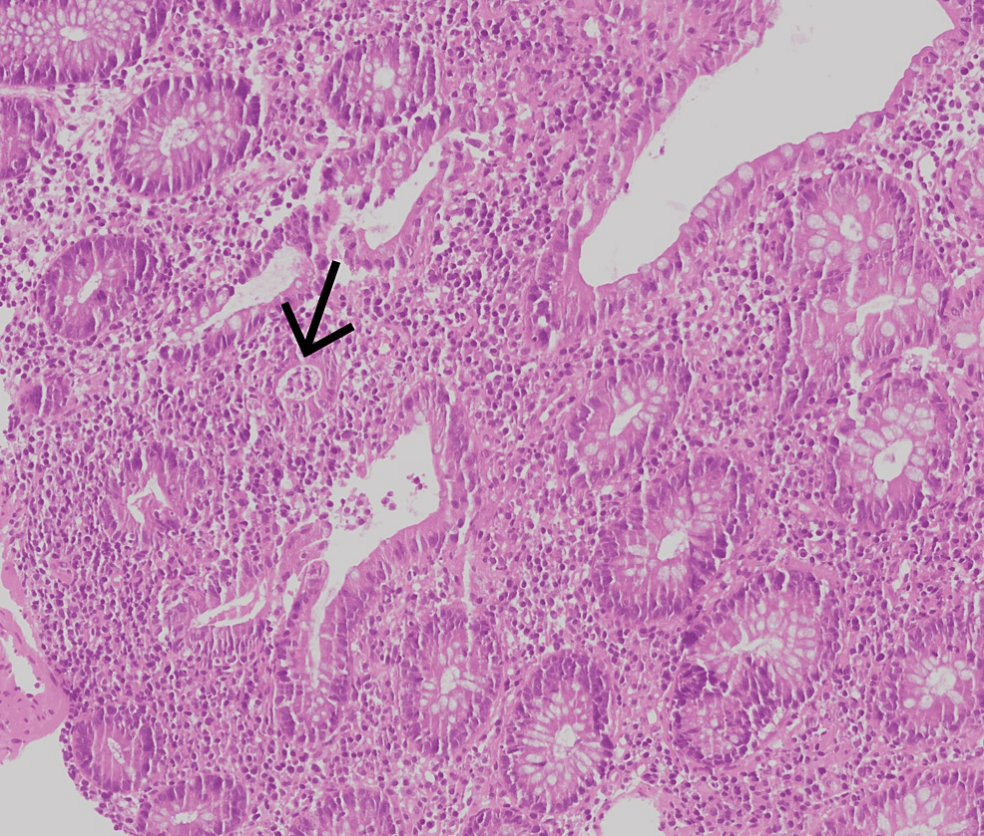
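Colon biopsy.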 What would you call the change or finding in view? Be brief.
inflammatory changes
